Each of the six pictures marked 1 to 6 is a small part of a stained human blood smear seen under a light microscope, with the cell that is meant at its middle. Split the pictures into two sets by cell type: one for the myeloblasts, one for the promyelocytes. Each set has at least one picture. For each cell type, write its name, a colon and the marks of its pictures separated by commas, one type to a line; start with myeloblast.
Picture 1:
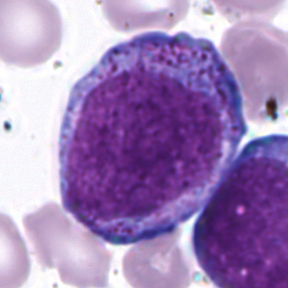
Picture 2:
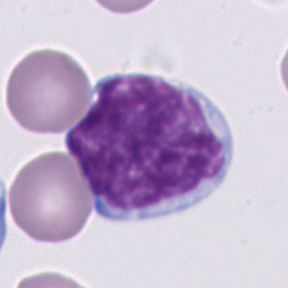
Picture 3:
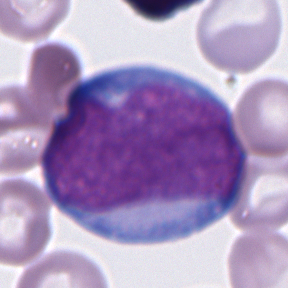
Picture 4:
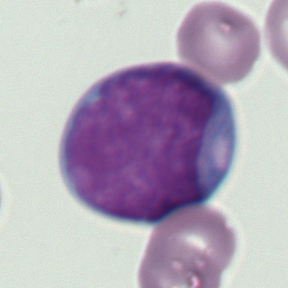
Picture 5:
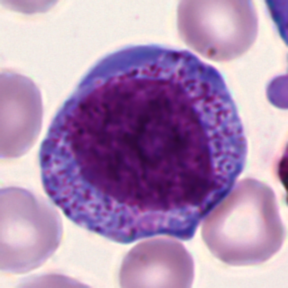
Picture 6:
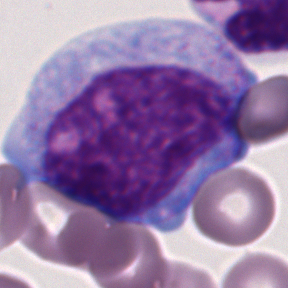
myeloblast: 2, 3, 4
promyelocyte: 1, 5, 6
